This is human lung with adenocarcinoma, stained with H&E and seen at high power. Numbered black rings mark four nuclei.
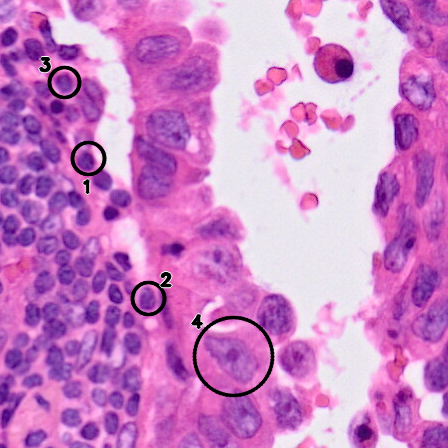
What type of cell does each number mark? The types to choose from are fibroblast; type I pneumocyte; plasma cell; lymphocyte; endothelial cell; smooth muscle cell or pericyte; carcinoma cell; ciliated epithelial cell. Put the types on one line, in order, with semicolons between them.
lymphocyte; lymphocyte; lymphocyte; carcinoma cell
